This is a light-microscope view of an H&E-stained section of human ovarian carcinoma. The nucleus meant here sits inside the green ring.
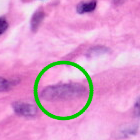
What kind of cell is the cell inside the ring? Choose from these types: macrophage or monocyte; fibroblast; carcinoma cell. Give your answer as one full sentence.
In terms of identity, the cell inside the ring is a fibroblast.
